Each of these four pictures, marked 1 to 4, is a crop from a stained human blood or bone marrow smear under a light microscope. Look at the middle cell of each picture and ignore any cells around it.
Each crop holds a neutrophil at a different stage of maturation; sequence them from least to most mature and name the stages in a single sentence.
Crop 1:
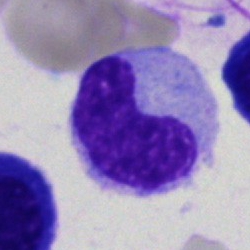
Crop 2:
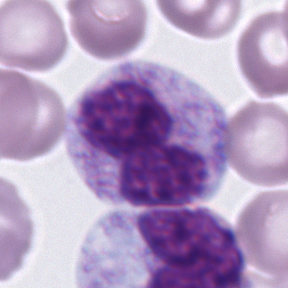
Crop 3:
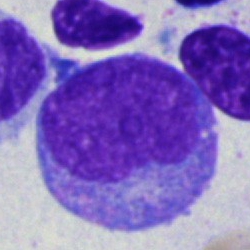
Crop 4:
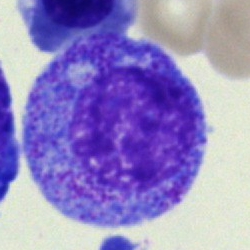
From least to most mature, the sequence is given by crop 3 (a promyelocyte), crop 4 (a myelocyte), crop 1 (a metamyelocyte) and crop 2 (a band neutrophil).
